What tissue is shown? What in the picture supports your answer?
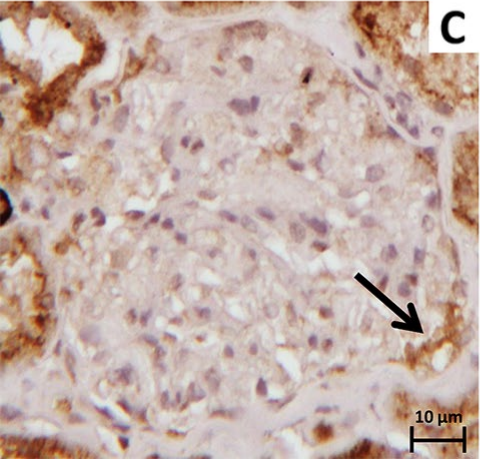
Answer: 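A round tuft of capillary loops with many small nuclei fills the centre. Tubules with brown-stained cytoplasm lie around it.
Glomerulus.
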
